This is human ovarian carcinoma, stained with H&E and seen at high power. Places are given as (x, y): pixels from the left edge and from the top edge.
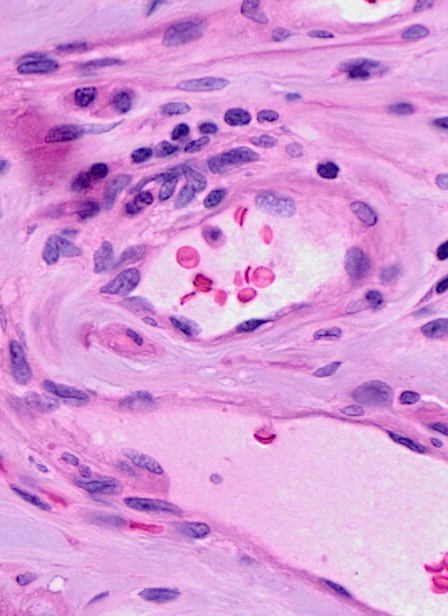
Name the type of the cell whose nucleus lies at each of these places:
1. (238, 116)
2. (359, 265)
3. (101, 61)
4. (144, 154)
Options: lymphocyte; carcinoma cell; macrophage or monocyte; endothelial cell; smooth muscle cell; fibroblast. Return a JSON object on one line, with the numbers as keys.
{"1": "lymphocyte", "2": "endothelial cell", "3": "endothelial cell", "4": "lymphocyte"}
